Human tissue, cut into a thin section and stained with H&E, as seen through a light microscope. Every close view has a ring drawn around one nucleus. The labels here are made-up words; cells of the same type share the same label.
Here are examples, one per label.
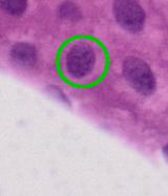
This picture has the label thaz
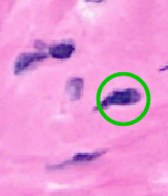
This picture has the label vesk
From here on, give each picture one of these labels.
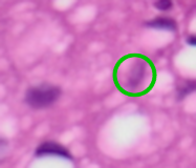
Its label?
thaz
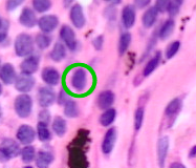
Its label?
vesk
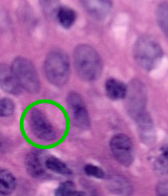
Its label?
thaz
